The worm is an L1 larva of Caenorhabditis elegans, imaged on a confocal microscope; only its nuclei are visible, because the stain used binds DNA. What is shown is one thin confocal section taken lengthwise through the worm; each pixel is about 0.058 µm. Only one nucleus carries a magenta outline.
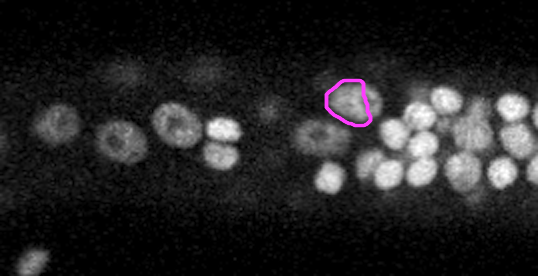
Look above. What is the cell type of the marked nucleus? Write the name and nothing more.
glial cell (sheath or socket)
